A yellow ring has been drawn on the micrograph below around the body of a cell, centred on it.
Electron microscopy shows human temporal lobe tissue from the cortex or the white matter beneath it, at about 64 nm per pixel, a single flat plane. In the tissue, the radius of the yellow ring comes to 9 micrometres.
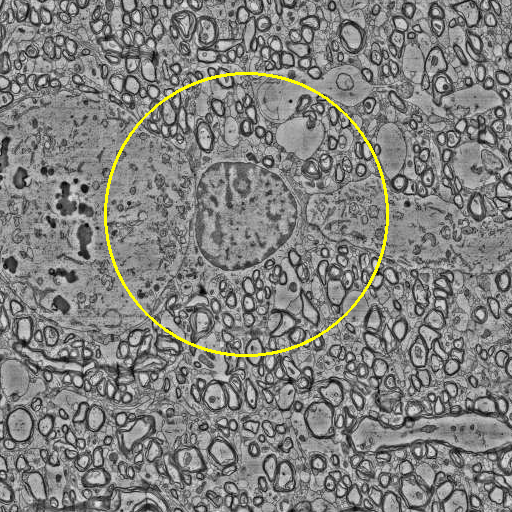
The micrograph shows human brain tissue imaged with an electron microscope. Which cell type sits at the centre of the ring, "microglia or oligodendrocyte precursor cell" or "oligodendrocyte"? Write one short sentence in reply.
The cell sitting at the centre of the ring is a microglial cell or oligodendrocyte precursor cell.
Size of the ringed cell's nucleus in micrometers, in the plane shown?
The nucleus of the ringed cell is approximately 7 by 6 micrometres in this plane.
